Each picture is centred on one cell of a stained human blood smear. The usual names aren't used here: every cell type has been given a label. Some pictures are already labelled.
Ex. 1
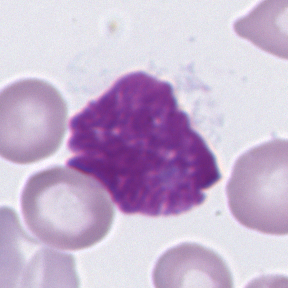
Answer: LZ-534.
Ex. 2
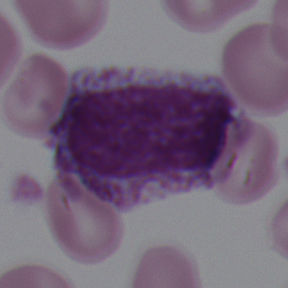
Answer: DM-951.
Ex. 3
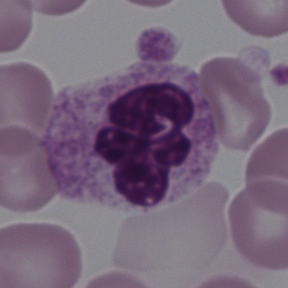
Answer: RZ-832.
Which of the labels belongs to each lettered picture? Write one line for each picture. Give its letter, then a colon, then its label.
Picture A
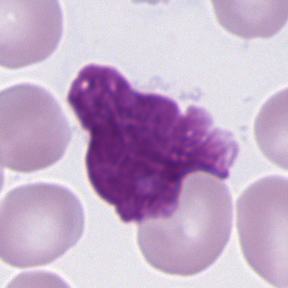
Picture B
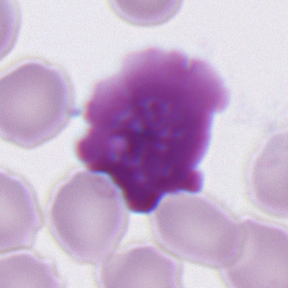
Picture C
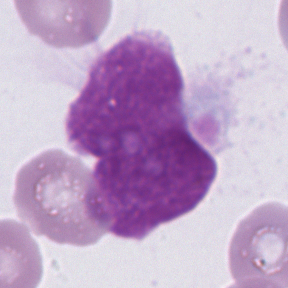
A: LZ-534.
B: LZ-534.
C: LZ-534.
